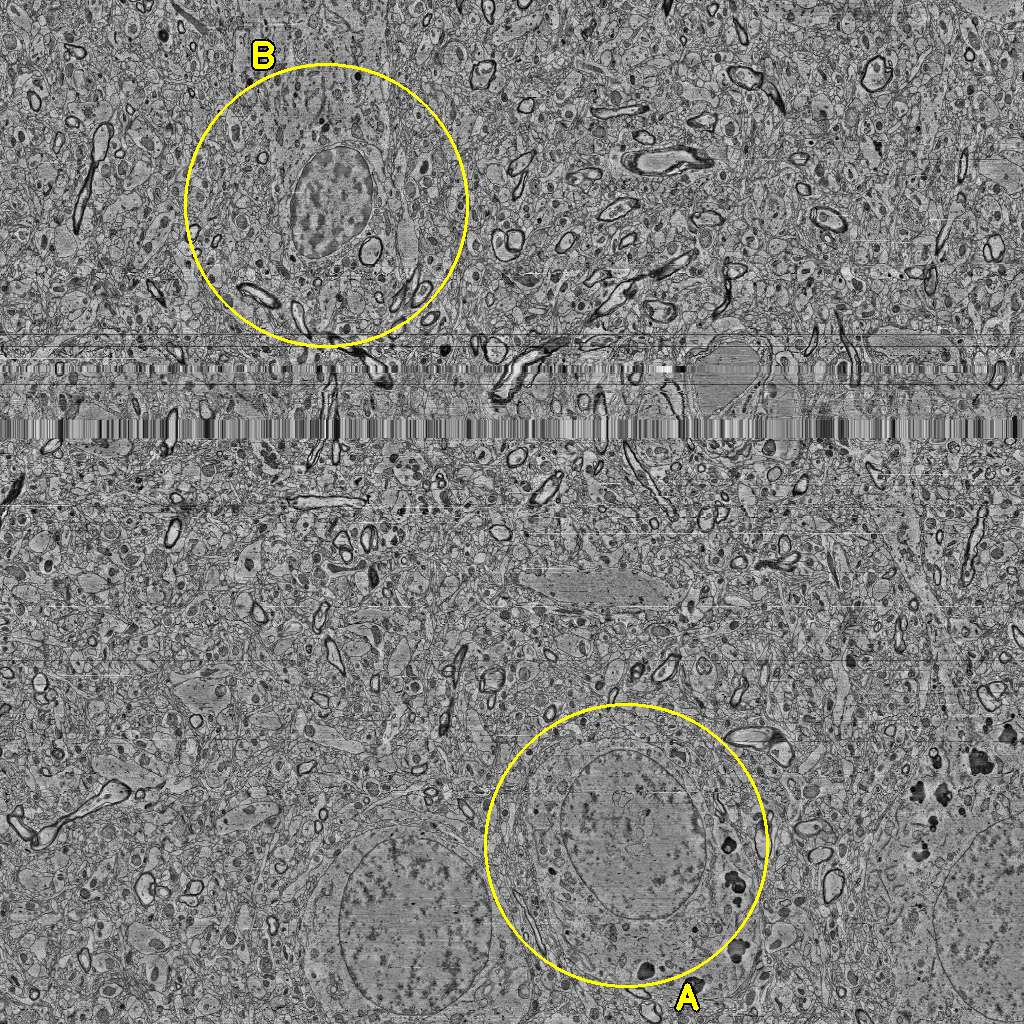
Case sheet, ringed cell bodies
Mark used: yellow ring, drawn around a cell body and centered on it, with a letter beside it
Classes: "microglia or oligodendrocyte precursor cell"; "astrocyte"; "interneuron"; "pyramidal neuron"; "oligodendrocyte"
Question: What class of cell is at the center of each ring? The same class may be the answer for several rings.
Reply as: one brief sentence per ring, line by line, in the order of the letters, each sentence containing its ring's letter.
Ring A has a pyramidal neuron at its center.
Ring B has a microglial cell or oligodendrocyte precursor cell at its center.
